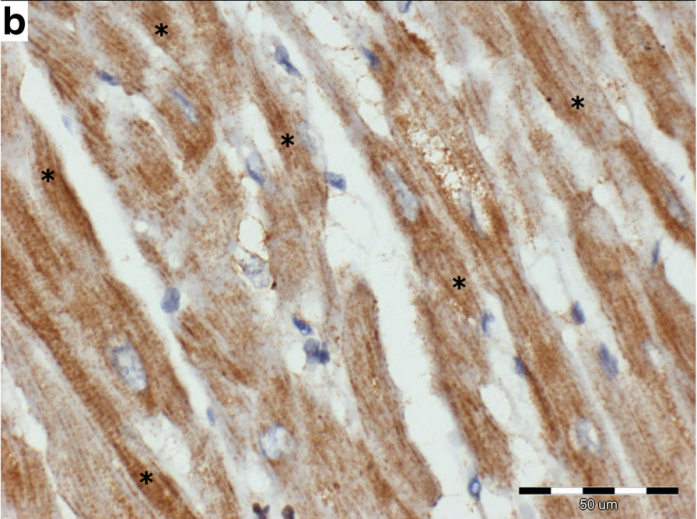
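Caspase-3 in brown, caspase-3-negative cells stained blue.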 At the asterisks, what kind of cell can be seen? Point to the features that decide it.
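Cardiomyocyte. Long parallel striated fibres with brown cytoplasm. Oval, centrally placed nuclei within the fibres. Thin blue-nucleated interstitial cells between fibres.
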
